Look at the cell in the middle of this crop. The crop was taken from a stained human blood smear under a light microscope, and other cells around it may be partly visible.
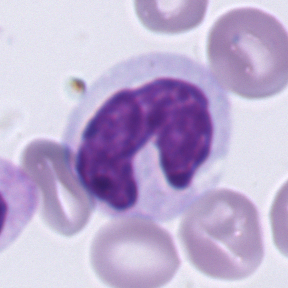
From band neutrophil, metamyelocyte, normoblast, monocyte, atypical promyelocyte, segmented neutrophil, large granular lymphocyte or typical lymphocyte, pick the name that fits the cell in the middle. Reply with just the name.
band neutrophil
